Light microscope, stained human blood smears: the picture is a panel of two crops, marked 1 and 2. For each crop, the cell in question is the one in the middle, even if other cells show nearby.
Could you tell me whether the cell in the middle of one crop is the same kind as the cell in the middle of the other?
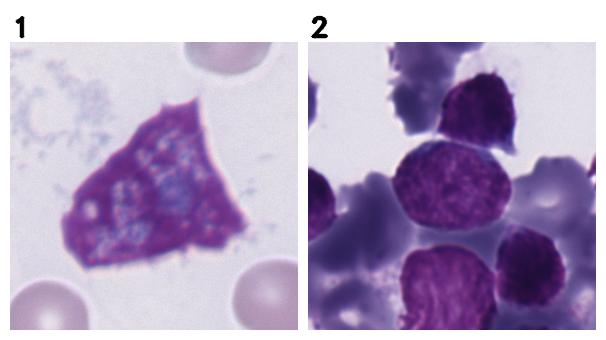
no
